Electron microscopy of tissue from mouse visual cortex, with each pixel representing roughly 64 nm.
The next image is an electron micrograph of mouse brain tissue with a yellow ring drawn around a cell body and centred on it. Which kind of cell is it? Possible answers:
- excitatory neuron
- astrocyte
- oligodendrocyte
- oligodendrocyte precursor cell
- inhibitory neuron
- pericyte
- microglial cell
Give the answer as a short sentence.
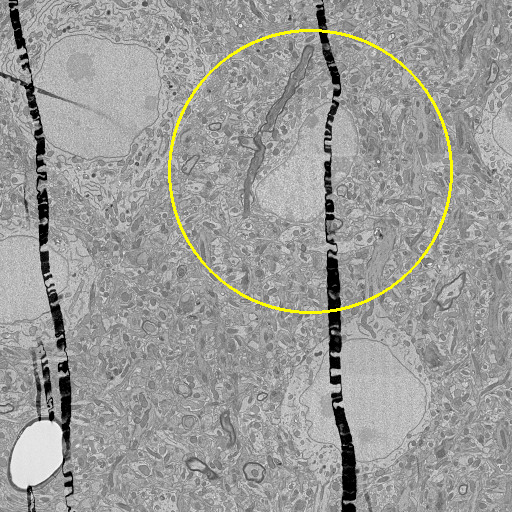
In the ring's centre is an astrocyte.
